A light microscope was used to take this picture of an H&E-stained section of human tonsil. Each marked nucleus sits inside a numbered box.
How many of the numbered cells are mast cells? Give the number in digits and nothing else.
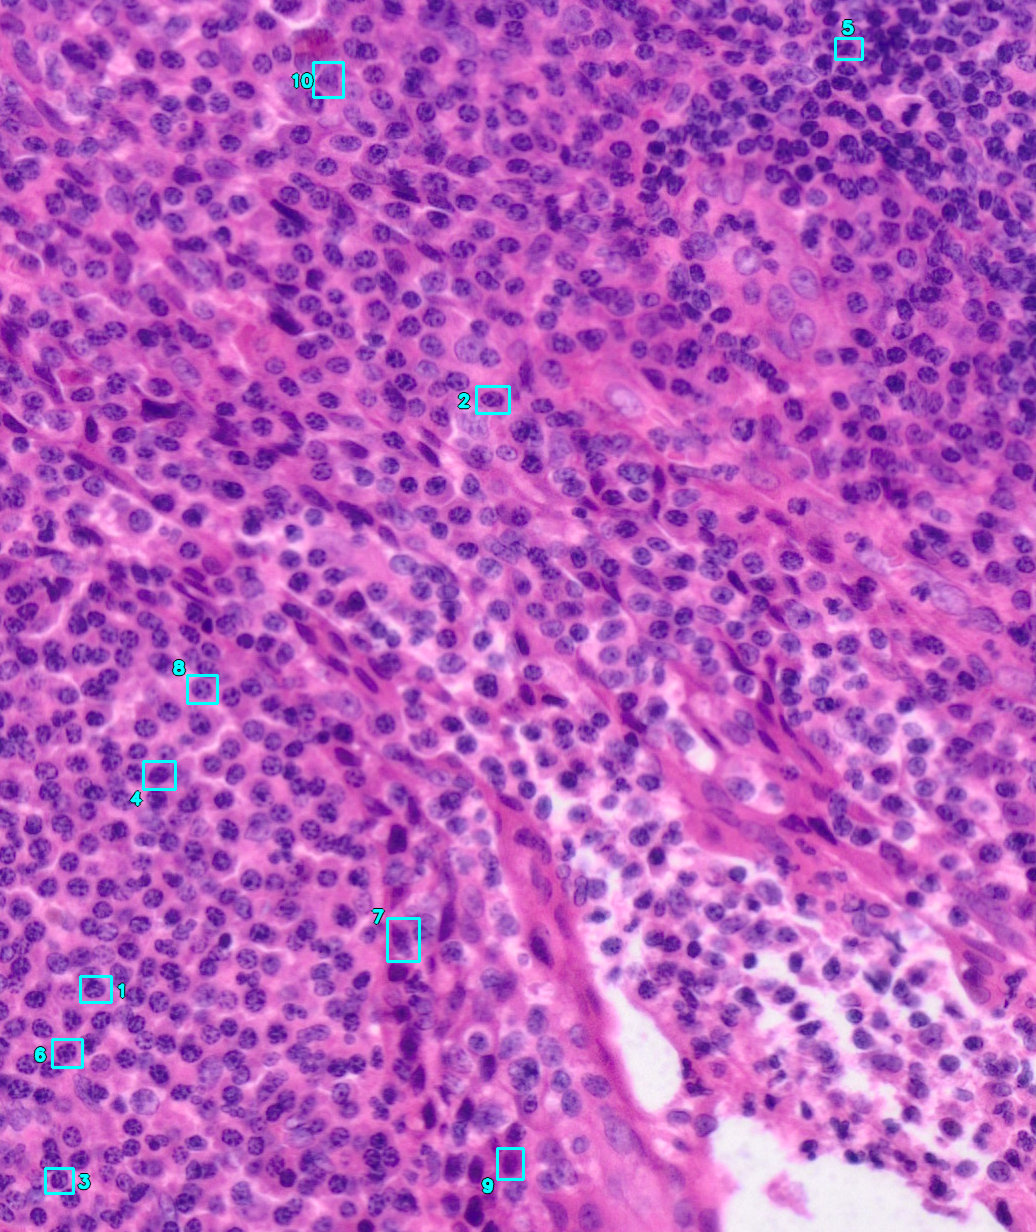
0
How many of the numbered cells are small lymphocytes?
1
